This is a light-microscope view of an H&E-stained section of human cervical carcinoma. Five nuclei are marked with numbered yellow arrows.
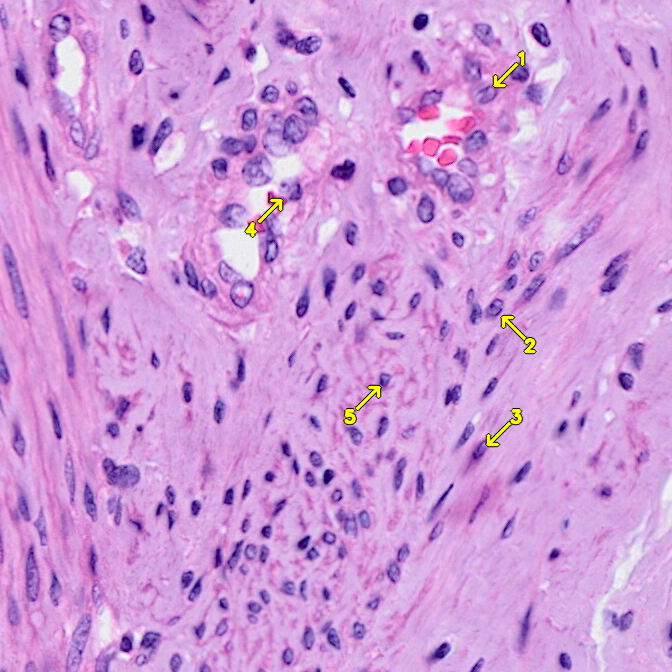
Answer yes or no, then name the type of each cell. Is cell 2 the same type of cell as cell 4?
No, the cell numbered 2 is a smooth muscle cell and the cell numbered 4 is an endothelial cell.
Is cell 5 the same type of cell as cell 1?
No, cell 5 should be called a smooth muscle cell, and cell 1 should be called an endothelial cell.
